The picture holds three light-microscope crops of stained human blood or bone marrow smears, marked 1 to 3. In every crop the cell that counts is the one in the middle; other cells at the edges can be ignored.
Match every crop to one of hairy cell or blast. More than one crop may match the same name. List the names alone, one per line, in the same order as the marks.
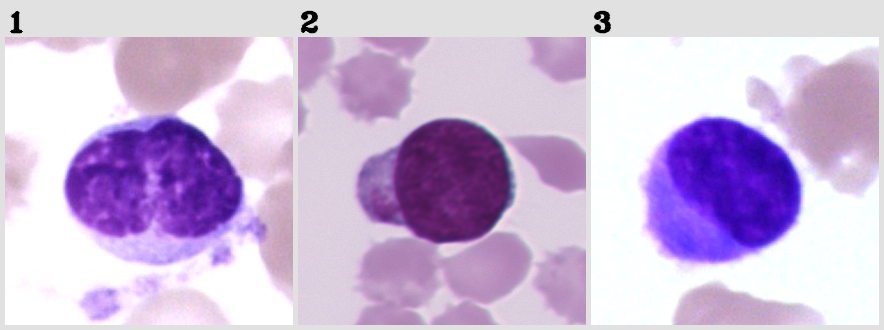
hairy cell
blast
hairy cell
